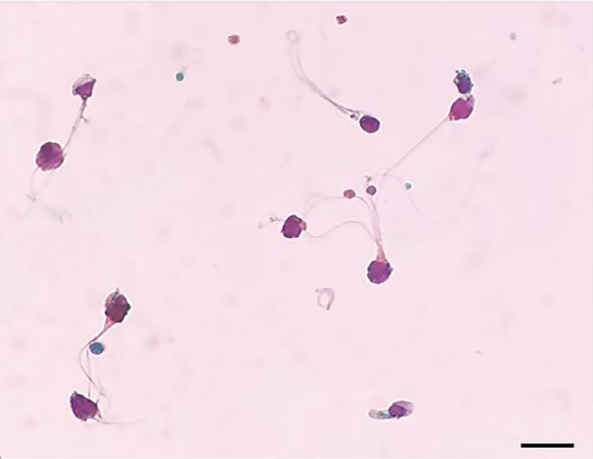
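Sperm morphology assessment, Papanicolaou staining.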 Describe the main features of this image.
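This smear shows spermatozoa with abnormally large, rounded heads stained dark purple to magenta. Thin pale tails run from the heads, and some heads give off more than one tail. Small round blue-green and pink particles of debris lie scattered between them.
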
